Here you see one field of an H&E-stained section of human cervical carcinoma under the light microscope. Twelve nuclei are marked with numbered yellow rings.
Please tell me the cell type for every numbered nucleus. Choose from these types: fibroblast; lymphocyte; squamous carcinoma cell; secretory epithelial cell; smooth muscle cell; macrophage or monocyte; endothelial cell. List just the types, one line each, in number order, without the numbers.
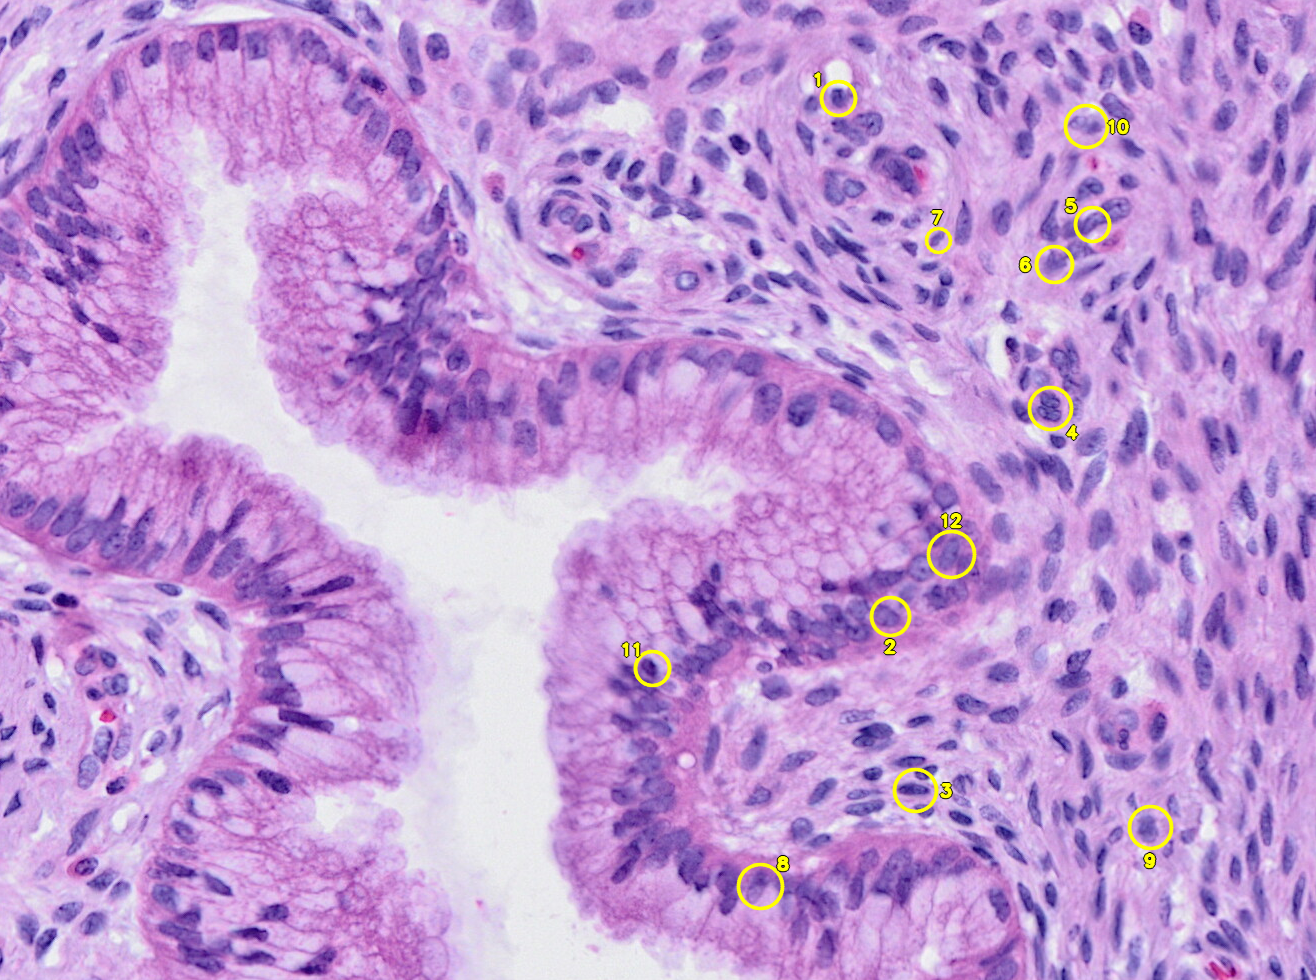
endothelial cell
secretory epithelial cell
fibroblast
endothelial cell
endothelial cell
fibroblast
fibroblast
secretory epithelial cell
fibroblast
fibroblast
secretory epithelial cell
secretory epithelial cell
